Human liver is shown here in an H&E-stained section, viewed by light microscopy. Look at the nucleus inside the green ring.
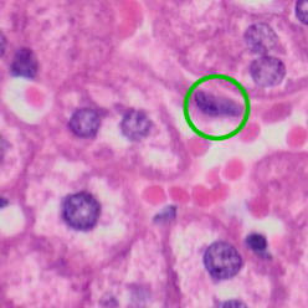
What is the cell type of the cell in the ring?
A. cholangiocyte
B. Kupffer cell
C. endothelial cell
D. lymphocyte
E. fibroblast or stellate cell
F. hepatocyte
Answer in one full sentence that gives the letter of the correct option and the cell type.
Option B is the correct one: the cell in the ring is a Kupffer cell.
